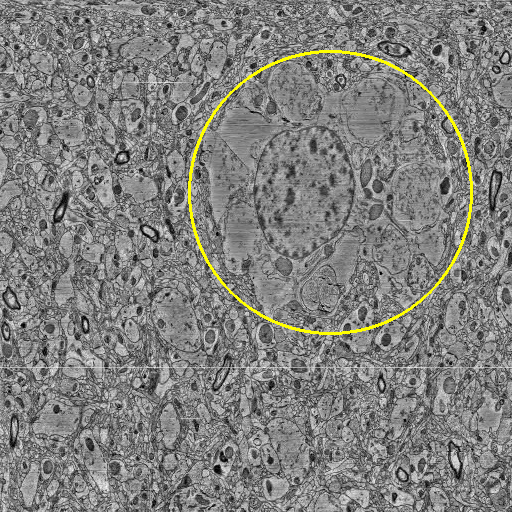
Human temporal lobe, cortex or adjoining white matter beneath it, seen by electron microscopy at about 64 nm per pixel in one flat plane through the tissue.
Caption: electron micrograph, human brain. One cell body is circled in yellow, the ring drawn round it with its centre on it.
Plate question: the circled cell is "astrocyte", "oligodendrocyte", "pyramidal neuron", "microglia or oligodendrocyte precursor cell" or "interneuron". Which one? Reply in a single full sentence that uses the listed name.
The yellow ring on the plate is centred on an astrocyte, going by the listed names.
